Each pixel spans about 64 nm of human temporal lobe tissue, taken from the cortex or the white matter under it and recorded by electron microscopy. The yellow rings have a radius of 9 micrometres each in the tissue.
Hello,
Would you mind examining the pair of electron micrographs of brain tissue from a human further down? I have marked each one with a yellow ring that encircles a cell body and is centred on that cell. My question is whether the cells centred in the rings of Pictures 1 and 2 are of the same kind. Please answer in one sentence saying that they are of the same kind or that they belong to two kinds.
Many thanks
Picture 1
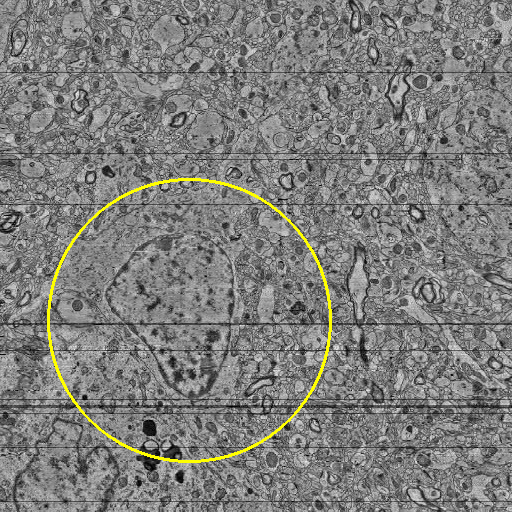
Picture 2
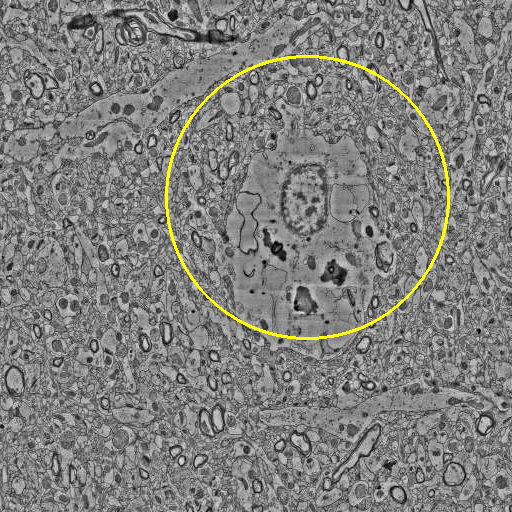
In Pictures 1 and 2, the cells at the heart of the rings belong to two kinds.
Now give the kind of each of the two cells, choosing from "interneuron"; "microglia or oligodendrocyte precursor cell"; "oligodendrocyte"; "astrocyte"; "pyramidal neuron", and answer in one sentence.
The cell in the first picture is a microglial cell or oligodendrocyte precursor cell, and the cell in the second is an astrocyte.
